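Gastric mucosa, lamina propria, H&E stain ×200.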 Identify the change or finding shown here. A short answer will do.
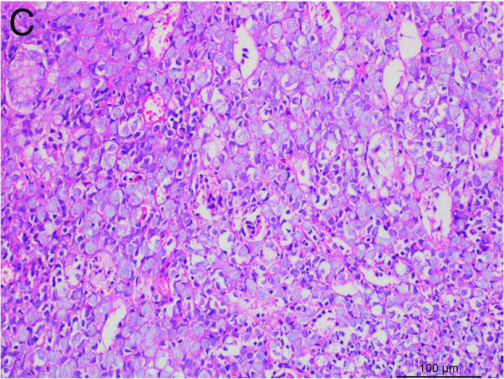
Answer: Sheets.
